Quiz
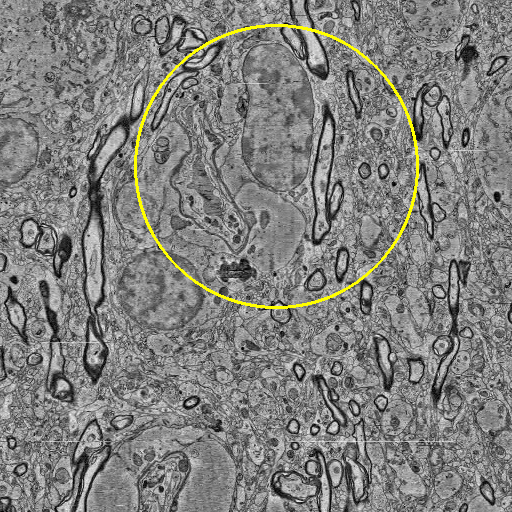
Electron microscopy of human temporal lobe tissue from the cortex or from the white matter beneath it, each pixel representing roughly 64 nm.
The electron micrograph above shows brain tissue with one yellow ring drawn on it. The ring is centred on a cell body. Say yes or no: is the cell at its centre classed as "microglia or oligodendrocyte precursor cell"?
yes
